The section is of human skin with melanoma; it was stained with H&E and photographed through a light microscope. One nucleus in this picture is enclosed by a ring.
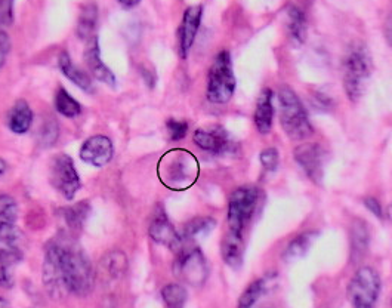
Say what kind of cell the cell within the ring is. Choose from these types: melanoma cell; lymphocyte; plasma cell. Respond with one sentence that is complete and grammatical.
Considered by cell type, the cell within the ring is a melanoma cell.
